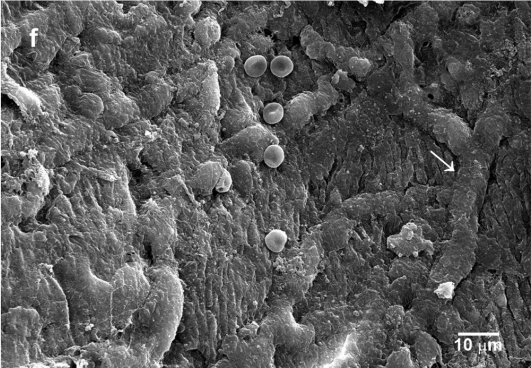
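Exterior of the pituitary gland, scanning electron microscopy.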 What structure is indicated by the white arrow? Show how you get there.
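The arrow points to an elongated tubular cord running across the surface. The cord is of even width and branches or meets similar cords.
Answer: blood vessels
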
